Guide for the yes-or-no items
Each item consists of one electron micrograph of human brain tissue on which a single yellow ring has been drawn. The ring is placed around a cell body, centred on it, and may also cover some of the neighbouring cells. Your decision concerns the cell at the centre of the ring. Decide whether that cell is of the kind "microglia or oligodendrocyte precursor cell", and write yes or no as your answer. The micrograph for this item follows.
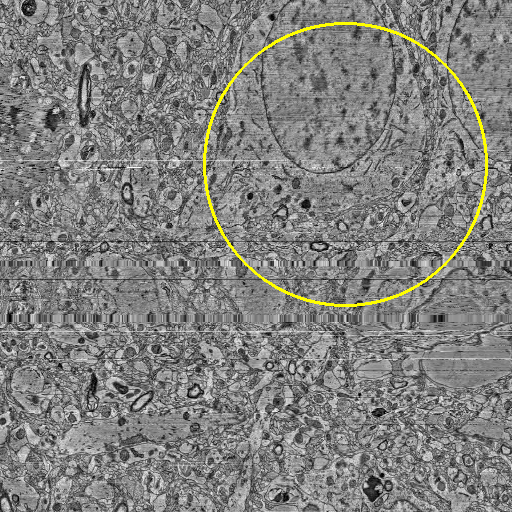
no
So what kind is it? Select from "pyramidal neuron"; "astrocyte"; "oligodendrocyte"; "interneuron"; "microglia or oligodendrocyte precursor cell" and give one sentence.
The ringed cell in this picture is, instead, a pyramidal neuron.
